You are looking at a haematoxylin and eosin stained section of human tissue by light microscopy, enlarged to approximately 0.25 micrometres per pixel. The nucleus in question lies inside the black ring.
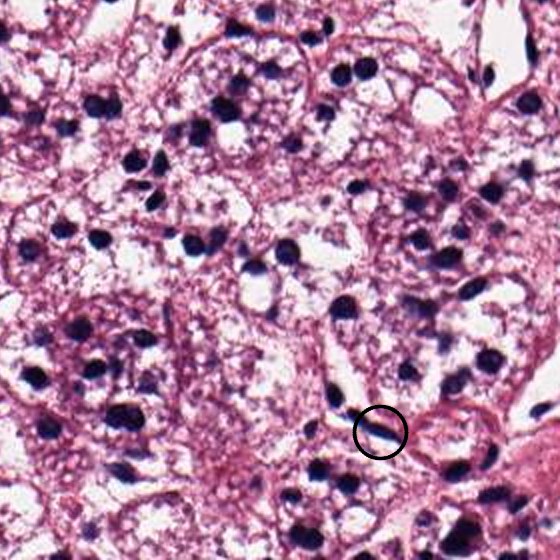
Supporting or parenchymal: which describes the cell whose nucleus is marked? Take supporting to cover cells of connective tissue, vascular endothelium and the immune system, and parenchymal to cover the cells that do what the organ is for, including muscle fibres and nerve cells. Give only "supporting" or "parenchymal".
supporting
